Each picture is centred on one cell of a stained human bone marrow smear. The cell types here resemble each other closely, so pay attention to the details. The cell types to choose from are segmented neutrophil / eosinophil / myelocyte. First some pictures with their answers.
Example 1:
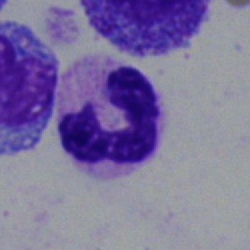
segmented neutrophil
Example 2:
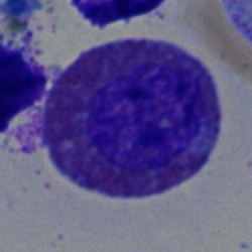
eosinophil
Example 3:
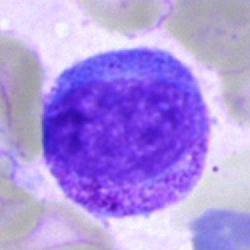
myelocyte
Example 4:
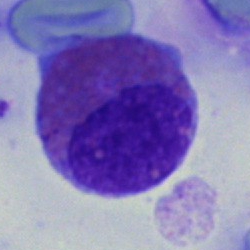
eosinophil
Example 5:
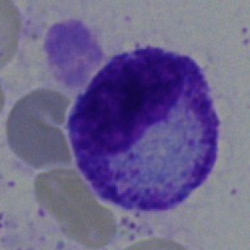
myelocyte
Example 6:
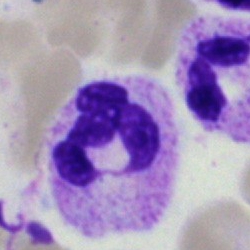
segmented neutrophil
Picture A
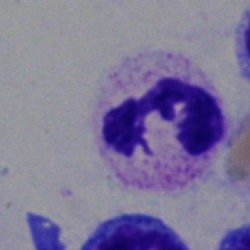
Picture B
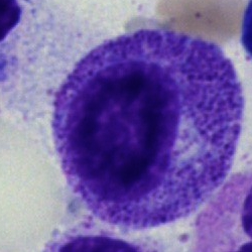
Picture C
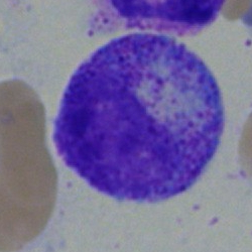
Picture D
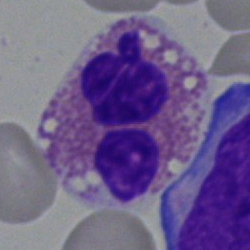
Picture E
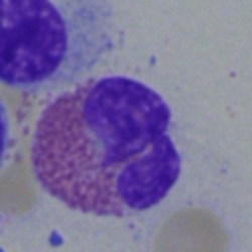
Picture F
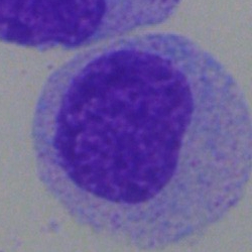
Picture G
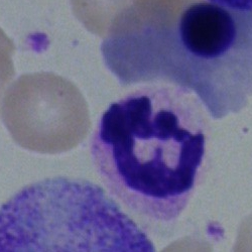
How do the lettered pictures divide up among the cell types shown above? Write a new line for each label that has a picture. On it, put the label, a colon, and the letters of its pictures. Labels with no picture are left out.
segmented neutrophil: A, G
eosinophil: D, E
myelocyte: B, C, F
